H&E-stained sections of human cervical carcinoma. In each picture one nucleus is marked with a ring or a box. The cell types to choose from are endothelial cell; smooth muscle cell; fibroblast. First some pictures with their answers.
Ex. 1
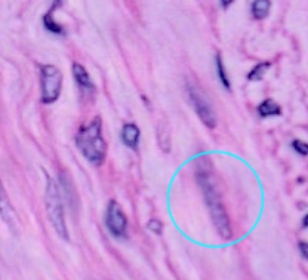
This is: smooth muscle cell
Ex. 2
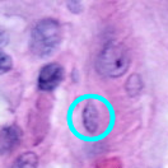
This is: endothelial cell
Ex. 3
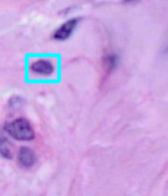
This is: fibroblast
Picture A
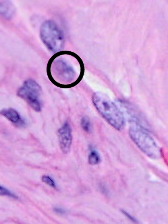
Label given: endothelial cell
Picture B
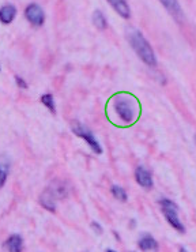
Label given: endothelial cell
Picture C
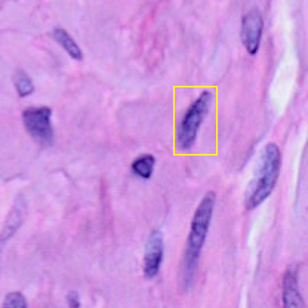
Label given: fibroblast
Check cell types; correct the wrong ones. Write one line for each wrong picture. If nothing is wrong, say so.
B should be smooth muscle cell, not endothelial cell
